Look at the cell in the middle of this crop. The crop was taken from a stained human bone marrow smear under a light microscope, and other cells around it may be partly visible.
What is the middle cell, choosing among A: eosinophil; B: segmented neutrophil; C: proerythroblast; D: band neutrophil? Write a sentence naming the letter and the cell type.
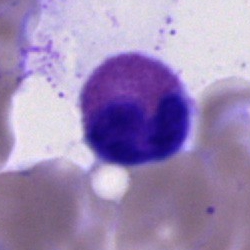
Identification: the cell in the middle is an eosinophil, matching option A.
